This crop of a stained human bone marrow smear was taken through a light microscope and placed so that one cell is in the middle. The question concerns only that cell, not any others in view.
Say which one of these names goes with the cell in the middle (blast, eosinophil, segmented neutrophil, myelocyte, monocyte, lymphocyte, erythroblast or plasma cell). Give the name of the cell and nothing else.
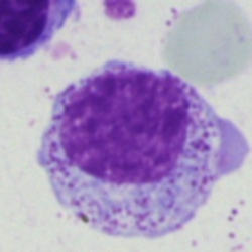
myelocyte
